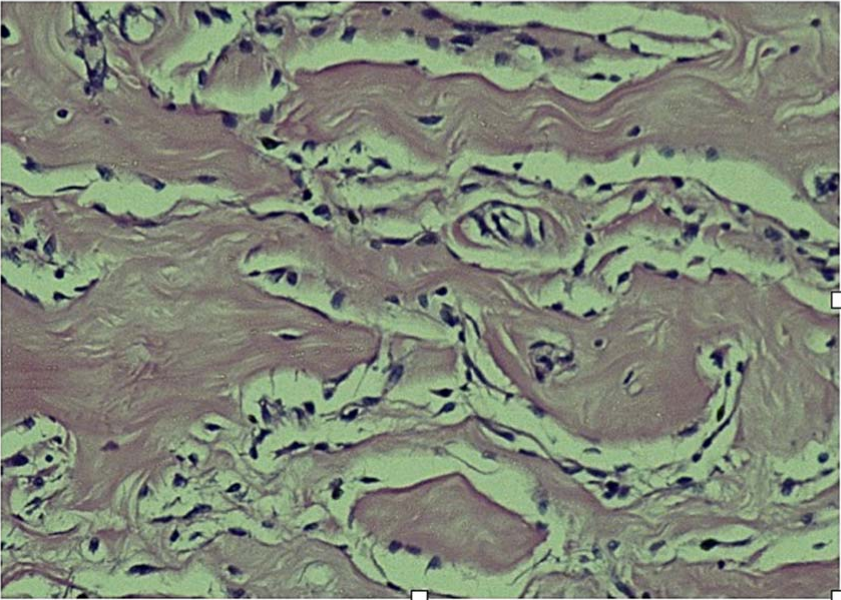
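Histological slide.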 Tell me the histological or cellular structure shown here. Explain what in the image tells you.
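Cleft-like spaces. Slit-like, empty-looking spaces run between dense pink collagen bundles. The spaces contain no red blood cells.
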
